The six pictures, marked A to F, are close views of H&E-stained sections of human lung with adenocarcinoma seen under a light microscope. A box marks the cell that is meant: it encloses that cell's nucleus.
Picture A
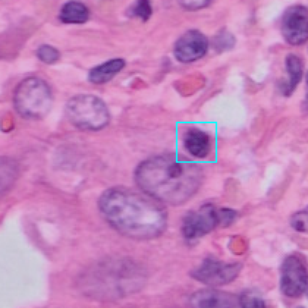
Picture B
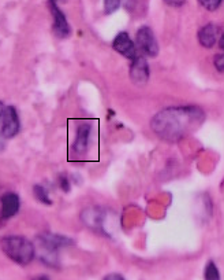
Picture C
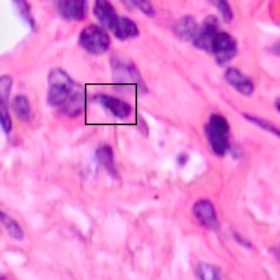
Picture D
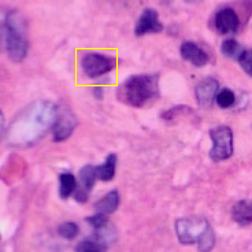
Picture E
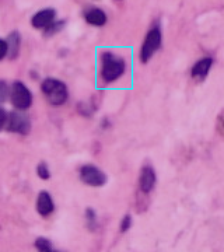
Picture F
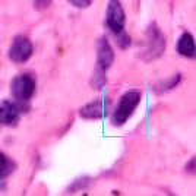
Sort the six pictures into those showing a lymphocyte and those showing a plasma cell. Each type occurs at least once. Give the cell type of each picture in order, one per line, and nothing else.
lymphocyte
plasma cell
plasma cell
plasma cell
plasma cell
lymphocyte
